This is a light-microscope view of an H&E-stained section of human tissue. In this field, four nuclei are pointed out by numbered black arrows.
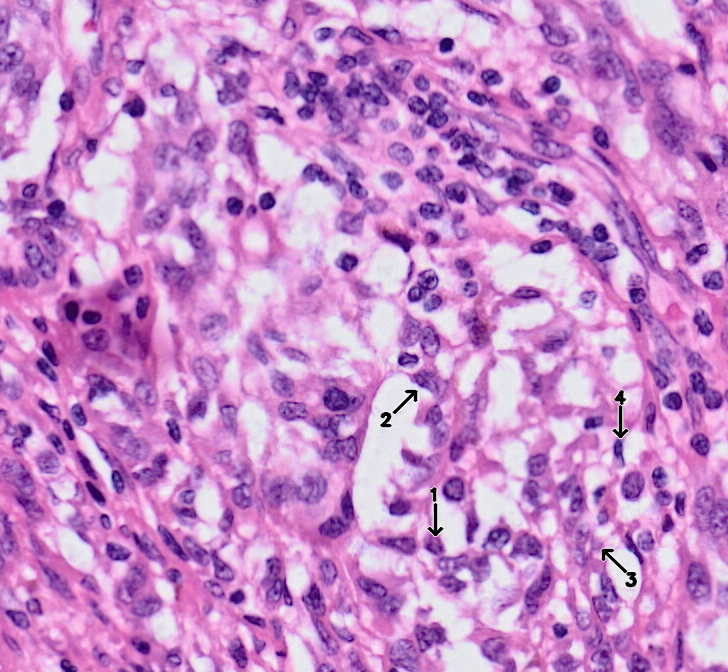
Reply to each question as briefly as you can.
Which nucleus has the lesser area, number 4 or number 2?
4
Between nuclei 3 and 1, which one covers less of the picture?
3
